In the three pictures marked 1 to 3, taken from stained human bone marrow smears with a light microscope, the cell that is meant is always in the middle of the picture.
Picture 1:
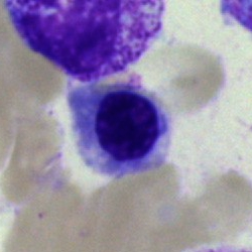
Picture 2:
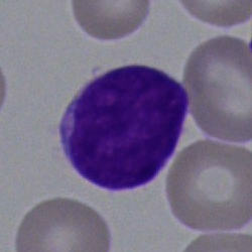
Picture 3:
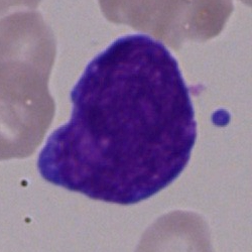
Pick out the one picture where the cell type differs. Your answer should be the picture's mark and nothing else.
1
